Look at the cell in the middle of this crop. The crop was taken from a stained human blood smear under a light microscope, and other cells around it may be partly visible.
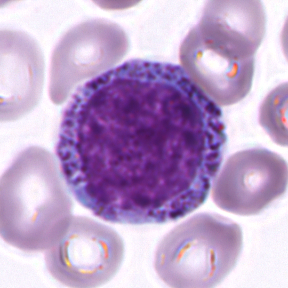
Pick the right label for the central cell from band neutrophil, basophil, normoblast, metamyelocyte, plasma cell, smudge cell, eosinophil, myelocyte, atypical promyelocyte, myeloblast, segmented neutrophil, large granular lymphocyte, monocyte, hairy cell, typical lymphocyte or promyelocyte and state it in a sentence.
The centered cell in this crop is a promyelocyte.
